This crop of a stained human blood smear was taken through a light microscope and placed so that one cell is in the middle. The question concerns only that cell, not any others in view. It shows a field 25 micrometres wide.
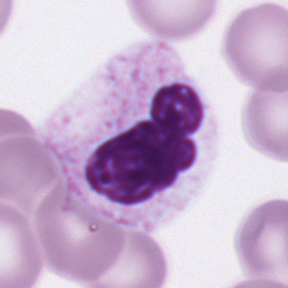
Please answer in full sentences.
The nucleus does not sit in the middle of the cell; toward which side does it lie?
Toward the lower right of the cell lies its nucleus.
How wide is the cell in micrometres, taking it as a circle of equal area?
The diameter of the cell comes to about 15 micrometres.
